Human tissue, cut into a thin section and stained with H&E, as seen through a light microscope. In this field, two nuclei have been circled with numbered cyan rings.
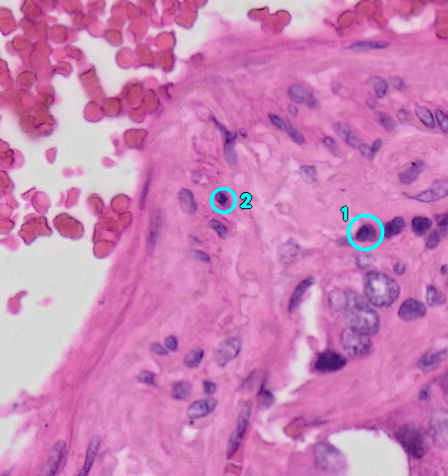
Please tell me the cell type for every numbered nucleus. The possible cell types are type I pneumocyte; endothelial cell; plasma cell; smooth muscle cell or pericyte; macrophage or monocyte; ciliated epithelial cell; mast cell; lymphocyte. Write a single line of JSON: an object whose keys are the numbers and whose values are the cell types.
{"1": "lymphocyte", "2": "smooth muscle cell or pericyte"}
